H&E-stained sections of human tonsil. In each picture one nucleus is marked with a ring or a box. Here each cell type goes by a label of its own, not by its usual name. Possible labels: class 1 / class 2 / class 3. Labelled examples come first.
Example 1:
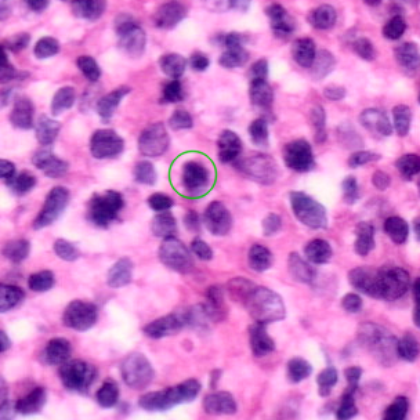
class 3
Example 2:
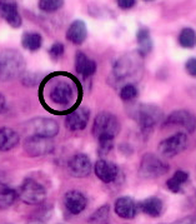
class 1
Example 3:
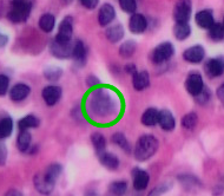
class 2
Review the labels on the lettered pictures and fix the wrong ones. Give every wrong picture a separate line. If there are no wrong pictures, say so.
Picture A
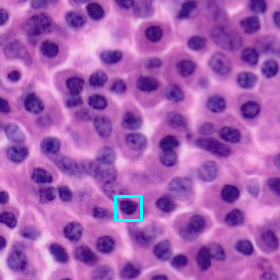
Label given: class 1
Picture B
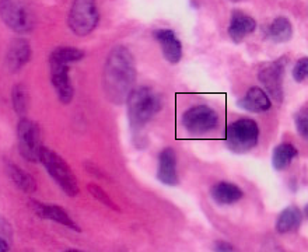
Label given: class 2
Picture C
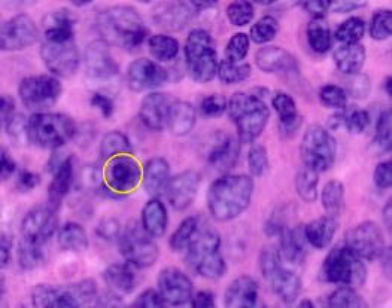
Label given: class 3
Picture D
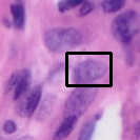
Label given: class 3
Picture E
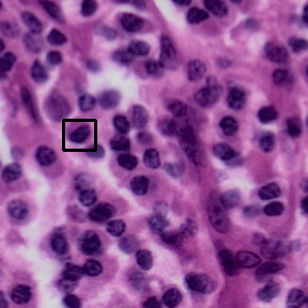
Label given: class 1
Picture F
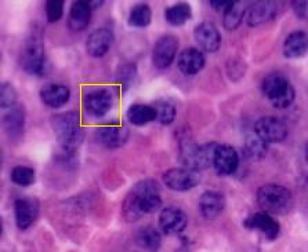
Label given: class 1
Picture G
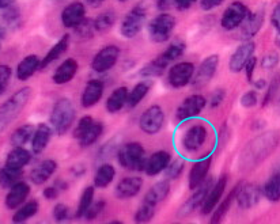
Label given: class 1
B should be class 3, not class 2
D should be class 2, not class 3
